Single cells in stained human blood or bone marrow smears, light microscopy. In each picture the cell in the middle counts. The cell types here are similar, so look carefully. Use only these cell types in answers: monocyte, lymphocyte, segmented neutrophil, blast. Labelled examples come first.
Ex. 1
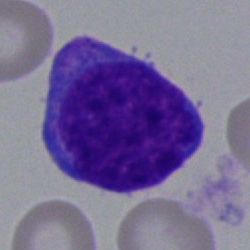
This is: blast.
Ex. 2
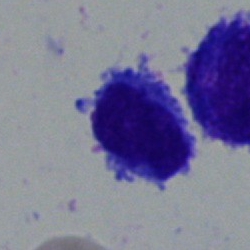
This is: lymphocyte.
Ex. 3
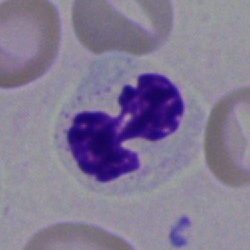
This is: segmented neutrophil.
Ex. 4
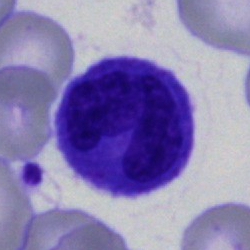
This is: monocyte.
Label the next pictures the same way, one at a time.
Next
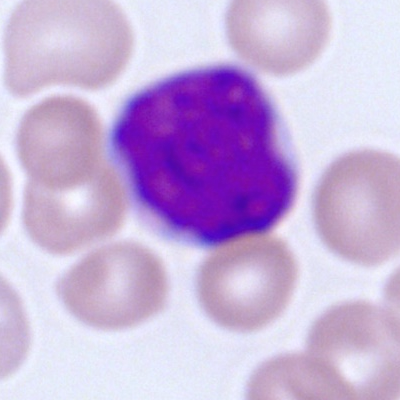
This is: blast.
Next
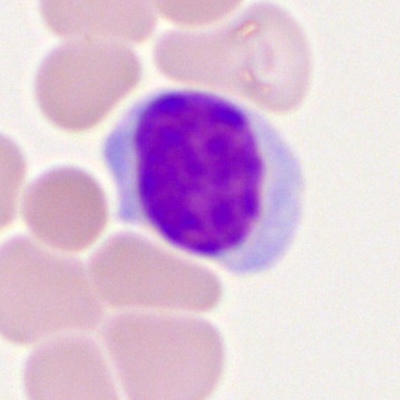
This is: lymphocyte.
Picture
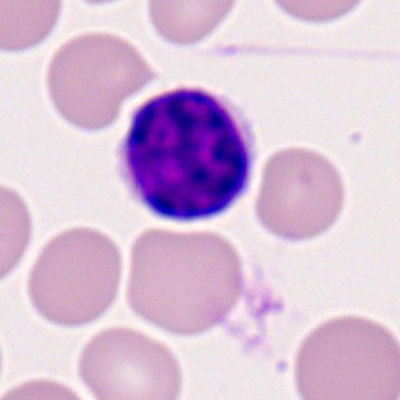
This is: lymphocyte.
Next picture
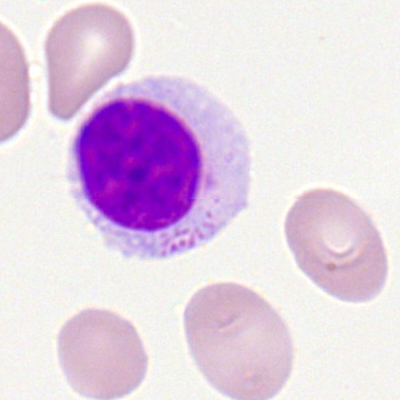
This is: lymphocyte.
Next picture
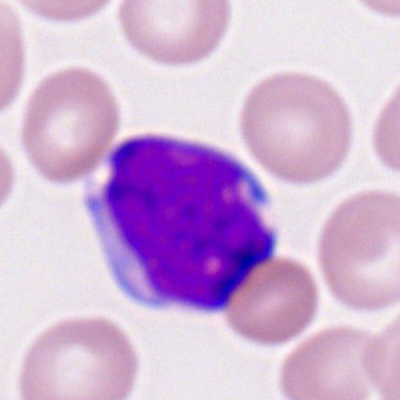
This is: blast.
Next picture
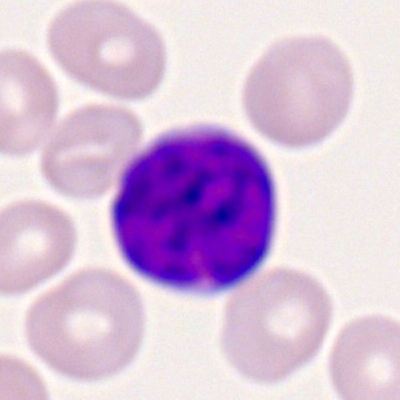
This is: blast.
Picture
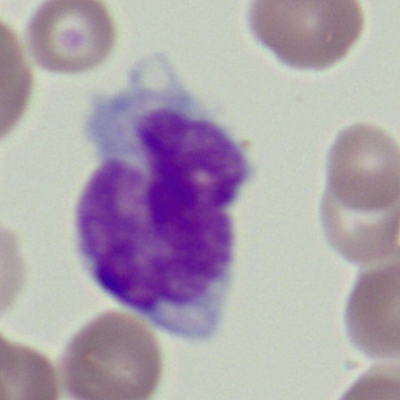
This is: monocyte.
